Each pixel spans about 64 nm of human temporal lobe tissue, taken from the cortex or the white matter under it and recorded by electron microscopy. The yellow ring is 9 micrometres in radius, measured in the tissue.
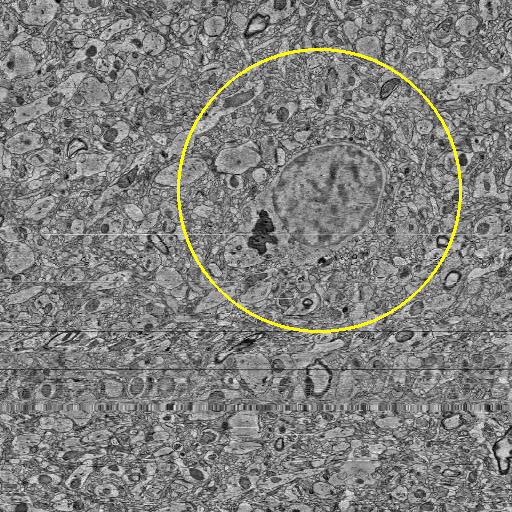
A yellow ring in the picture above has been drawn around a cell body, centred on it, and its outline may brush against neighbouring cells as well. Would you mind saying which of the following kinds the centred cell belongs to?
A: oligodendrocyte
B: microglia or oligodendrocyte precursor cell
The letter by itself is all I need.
A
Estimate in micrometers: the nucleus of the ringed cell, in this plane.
About 7 by 6 micrometres in this plane.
